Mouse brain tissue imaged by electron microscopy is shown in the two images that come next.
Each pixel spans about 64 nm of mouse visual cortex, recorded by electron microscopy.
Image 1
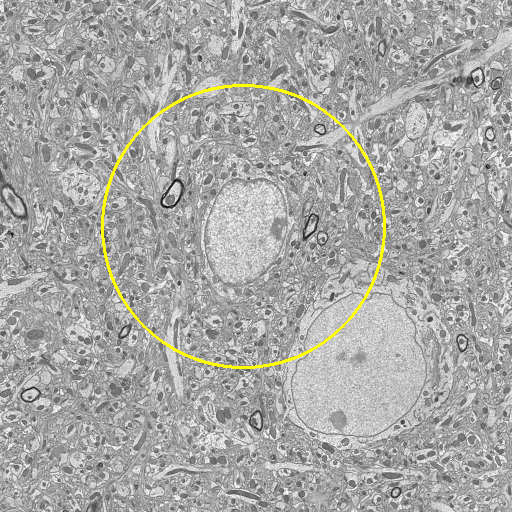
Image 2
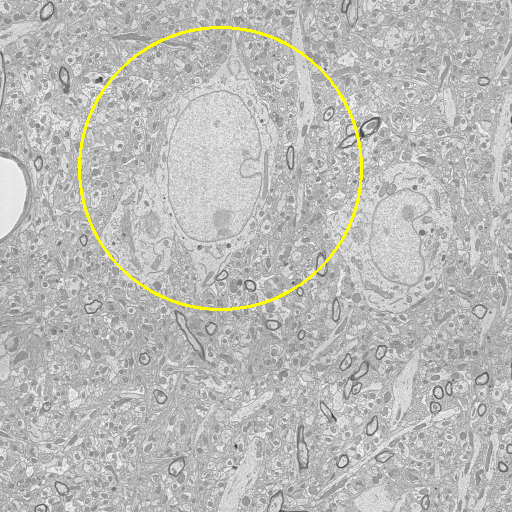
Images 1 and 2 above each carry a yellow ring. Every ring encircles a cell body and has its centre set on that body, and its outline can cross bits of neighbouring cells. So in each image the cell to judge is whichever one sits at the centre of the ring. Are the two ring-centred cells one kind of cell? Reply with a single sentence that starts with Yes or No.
No, in Image 1 and Image 2 the cells at the centres of their rings fall into two types.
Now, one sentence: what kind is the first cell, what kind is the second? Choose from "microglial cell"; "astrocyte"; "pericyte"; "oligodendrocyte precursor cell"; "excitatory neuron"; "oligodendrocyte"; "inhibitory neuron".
The first picture has an astrocyte at its ring centre, and the second has an excitatory neuron.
